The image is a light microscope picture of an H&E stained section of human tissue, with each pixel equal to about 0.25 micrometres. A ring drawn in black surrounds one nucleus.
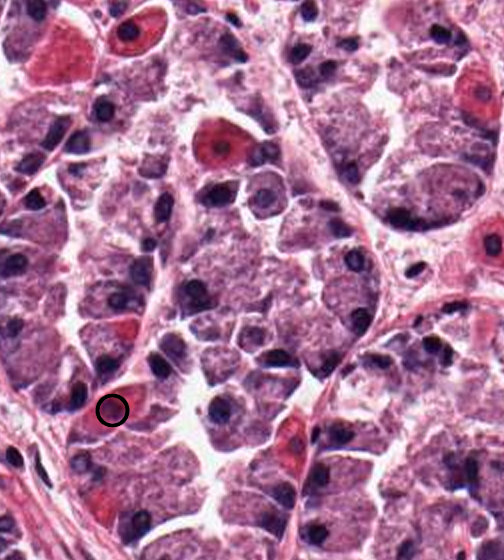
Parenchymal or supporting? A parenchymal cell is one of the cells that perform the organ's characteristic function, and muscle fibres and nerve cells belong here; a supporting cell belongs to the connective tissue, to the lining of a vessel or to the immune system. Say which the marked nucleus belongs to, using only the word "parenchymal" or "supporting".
parenchymal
